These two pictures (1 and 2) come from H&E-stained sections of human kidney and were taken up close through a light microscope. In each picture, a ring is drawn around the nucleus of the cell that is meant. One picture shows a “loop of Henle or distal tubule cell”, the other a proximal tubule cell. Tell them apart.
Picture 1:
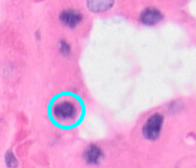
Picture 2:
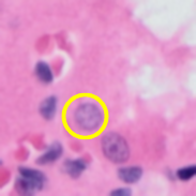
1: loop of Henle or distal tubule cell
2: proximal tubule cell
